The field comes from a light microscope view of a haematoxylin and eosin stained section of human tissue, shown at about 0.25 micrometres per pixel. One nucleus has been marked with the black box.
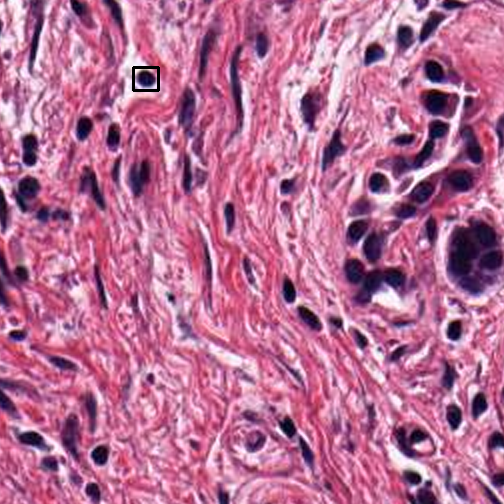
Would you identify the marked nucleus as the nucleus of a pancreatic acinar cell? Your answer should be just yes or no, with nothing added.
no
